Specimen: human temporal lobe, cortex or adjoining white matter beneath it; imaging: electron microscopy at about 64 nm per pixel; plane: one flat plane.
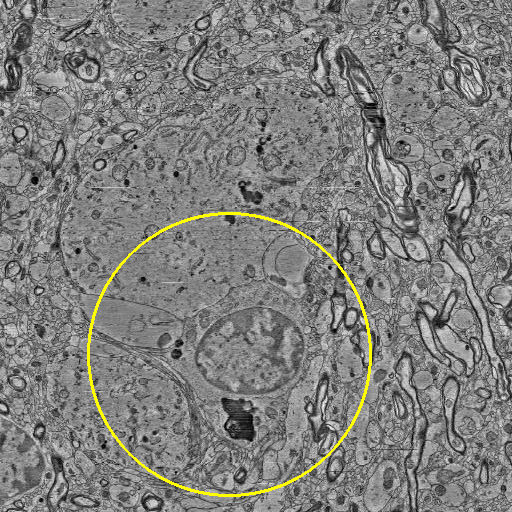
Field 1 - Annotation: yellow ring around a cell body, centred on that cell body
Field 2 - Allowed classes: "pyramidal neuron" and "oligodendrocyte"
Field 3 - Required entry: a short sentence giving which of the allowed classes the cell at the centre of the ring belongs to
The centred cell is an oligodendrocyte.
